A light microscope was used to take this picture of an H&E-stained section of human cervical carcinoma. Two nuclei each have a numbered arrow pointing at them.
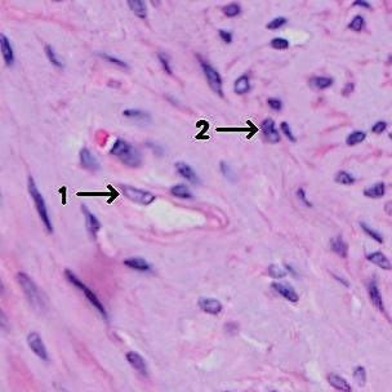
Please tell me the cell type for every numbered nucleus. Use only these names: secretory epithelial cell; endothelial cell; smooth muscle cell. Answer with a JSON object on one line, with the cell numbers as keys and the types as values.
{"1": "endothelial cell", "2": "smooth muscle cell"}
